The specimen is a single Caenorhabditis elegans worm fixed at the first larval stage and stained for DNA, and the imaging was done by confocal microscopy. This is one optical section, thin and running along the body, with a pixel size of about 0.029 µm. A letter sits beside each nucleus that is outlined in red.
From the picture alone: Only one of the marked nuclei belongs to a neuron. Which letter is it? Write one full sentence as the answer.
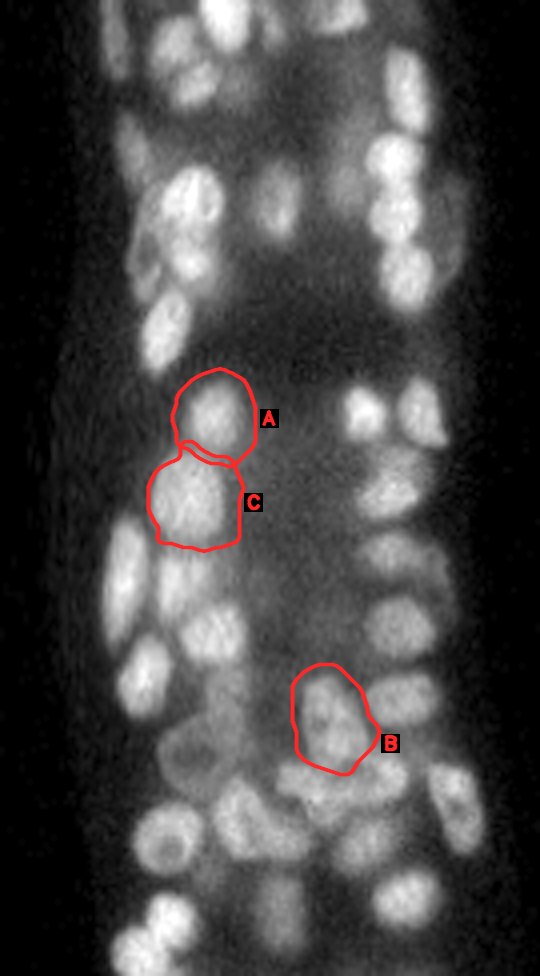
It is C that belongs to a neuron.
